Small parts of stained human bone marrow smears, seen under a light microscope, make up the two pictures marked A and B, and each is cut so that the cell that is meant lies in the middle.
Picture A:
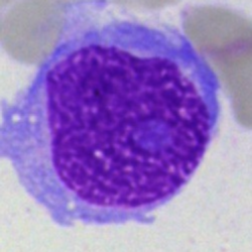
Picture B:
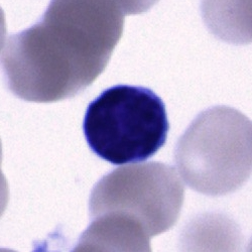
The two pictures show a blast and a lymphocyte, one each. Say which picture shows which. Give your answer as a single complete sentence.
It is picture A that shows a blast, and picture B that shows a lymphocyte.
